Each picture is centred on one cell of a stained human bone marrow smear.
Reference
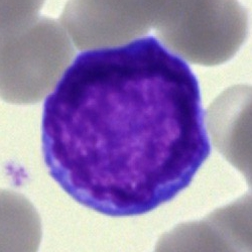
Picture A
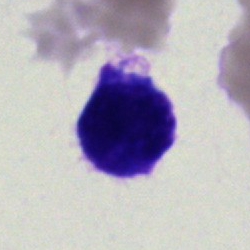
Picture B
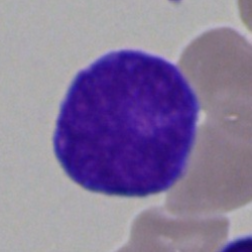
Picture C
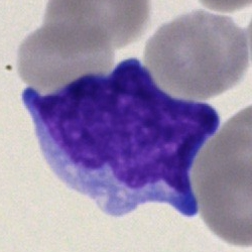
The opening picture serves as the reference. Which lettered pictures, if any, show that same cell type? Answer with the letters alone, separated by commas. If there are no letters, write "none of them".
A, B, C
